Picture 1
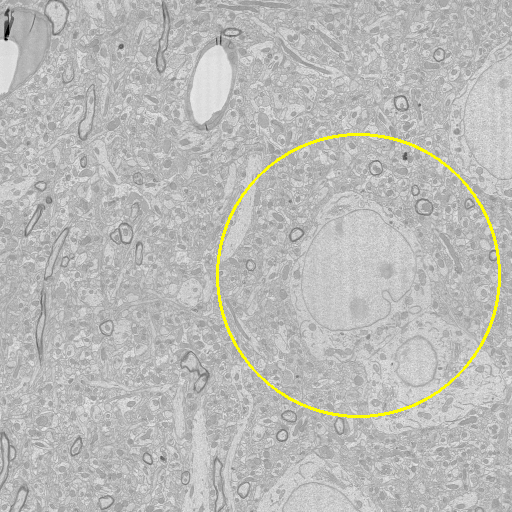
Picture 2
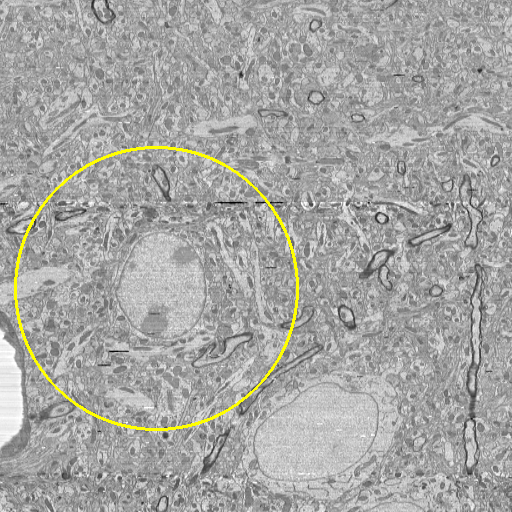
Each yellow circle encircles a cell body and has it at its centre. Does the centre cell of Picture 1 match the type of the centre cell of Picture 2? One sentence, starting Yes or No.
No, the cell centred in Picture 1 and the one in Picture 2 have separate types.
